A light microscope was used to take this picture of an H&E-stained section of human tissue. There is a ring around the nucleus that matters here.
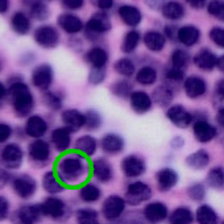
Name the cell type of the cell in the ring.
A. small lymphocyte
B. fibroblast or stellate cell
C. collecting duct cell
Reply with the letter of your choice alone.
A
